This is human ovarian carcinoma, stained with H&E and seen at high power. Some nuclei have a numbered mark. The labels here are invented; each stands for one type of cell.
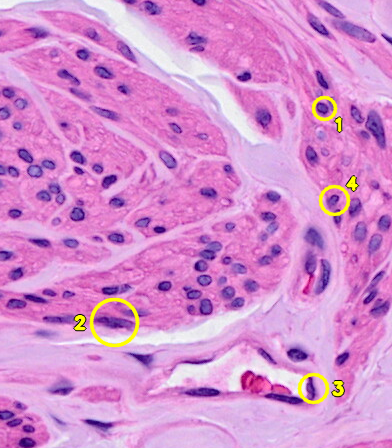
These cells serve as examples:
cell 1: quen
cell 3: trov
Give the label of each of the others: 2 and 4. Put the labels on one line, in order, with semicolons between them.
quen; quen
